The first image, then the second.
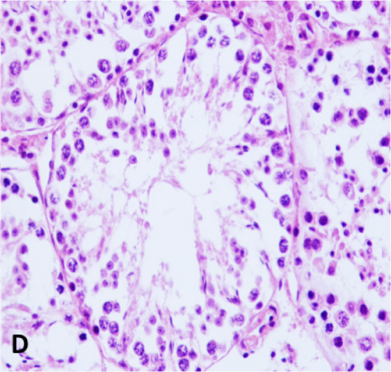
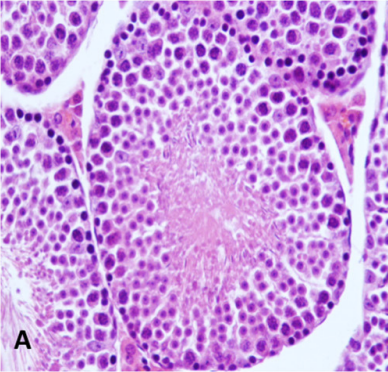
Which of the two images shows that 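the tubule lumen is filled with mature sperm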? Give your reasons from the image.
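First image: the lumen is pale and largely empty, with sparse wispy material. Second image: the lumen is filled with dense pink tail material surrounded by many germ-cell layers. That points to this answer: the second image.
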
